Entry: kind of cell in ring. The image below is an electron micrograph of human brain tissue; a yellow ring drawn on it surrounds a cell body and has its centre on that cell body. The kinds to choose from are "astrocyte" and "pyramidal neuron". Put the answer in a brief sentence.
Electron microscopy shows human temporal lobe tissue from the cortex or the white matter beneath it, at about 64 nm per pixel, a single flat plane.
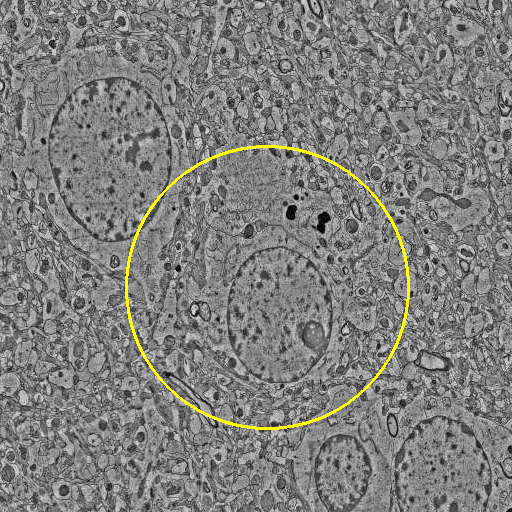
The ring has been drawn around an astrocyte.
